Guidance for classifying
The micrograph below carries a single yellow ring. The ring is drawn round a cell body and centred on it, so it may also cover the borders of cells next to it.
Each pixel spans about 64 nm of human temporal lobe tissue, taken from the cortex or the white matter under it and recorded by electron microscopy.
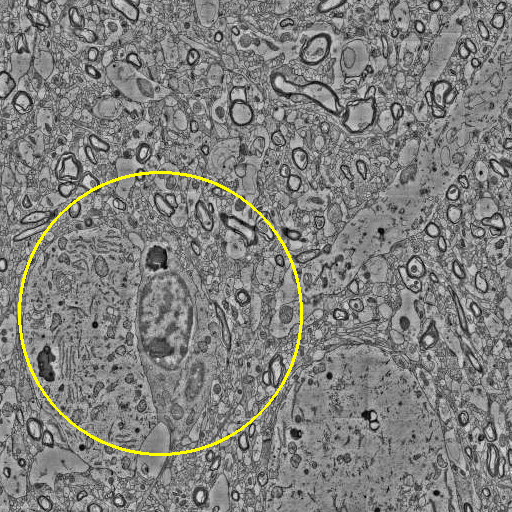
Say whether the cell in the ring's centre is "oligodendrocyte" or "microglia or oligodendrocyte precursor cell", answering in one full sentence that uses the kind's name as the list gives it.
Within the yellow ring, an oligodendrocyte is the cell whose body sits at the centre.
